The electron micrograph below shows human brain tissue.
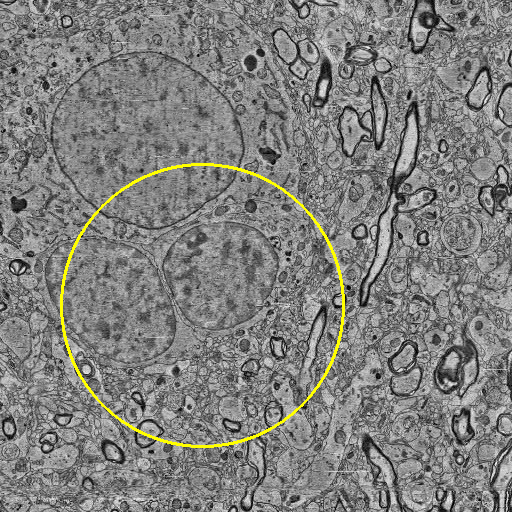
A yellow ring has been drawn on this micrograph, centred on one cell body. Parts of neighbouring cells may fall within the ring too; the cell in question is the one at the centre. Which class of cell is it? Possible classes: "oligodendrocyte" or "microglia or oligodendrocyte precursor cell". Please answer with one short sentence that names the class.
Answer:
In the centre of the ring sits an oligodendrocyte.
